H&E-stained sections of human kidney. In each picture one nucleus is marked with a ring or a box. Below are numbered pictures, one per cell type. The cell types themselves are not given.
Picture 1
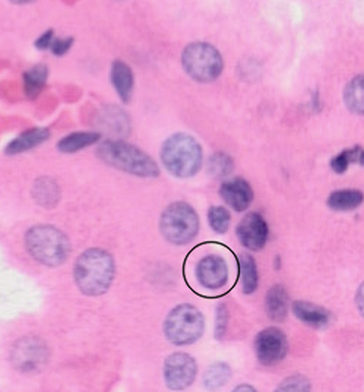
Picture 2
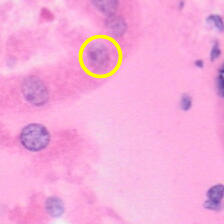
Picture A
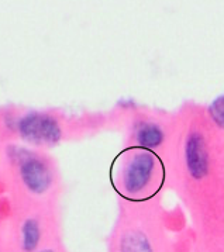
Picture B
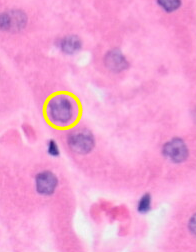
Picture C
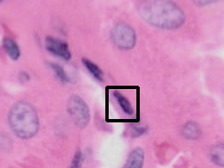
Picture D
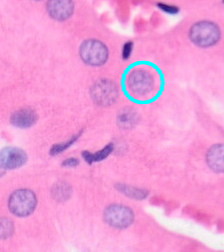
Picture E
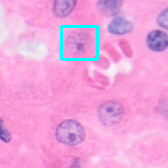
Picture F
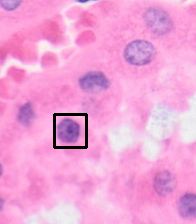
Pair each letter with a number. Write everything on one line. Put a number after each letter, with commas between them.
A 1, B 2, C 1, D 2, E 2, F 2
